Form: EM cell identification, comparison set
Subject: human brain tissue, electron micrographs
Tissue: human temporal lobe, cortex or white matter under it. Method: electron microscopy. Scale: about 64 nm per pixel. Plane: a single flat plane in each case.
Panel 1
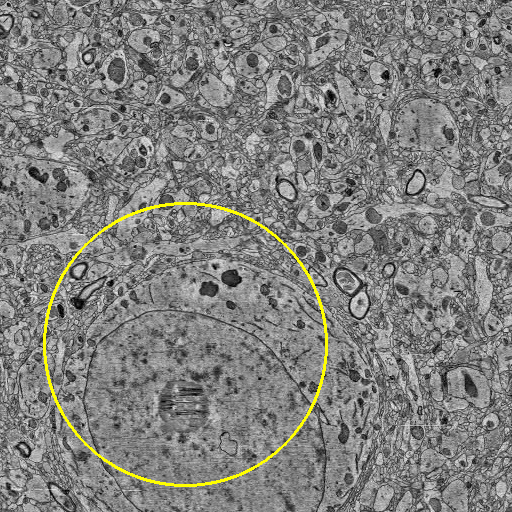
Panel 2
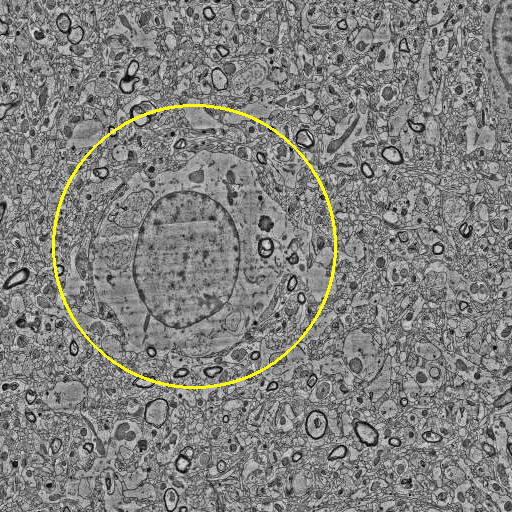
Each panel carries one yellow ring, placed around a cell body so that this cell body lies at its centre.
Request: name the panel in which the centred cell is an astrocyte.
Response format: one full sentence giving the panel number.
Panel 2 has it at the centre of its ring.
